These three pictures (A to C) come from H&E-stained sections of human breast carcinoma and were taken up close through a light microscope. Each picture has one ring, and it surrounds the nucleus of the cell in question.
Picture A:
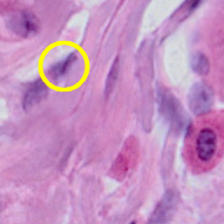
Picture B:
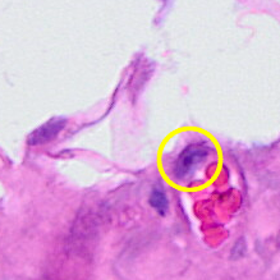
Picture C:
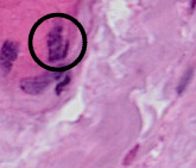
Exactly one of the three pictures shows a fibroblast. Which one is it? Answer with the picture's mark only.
A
